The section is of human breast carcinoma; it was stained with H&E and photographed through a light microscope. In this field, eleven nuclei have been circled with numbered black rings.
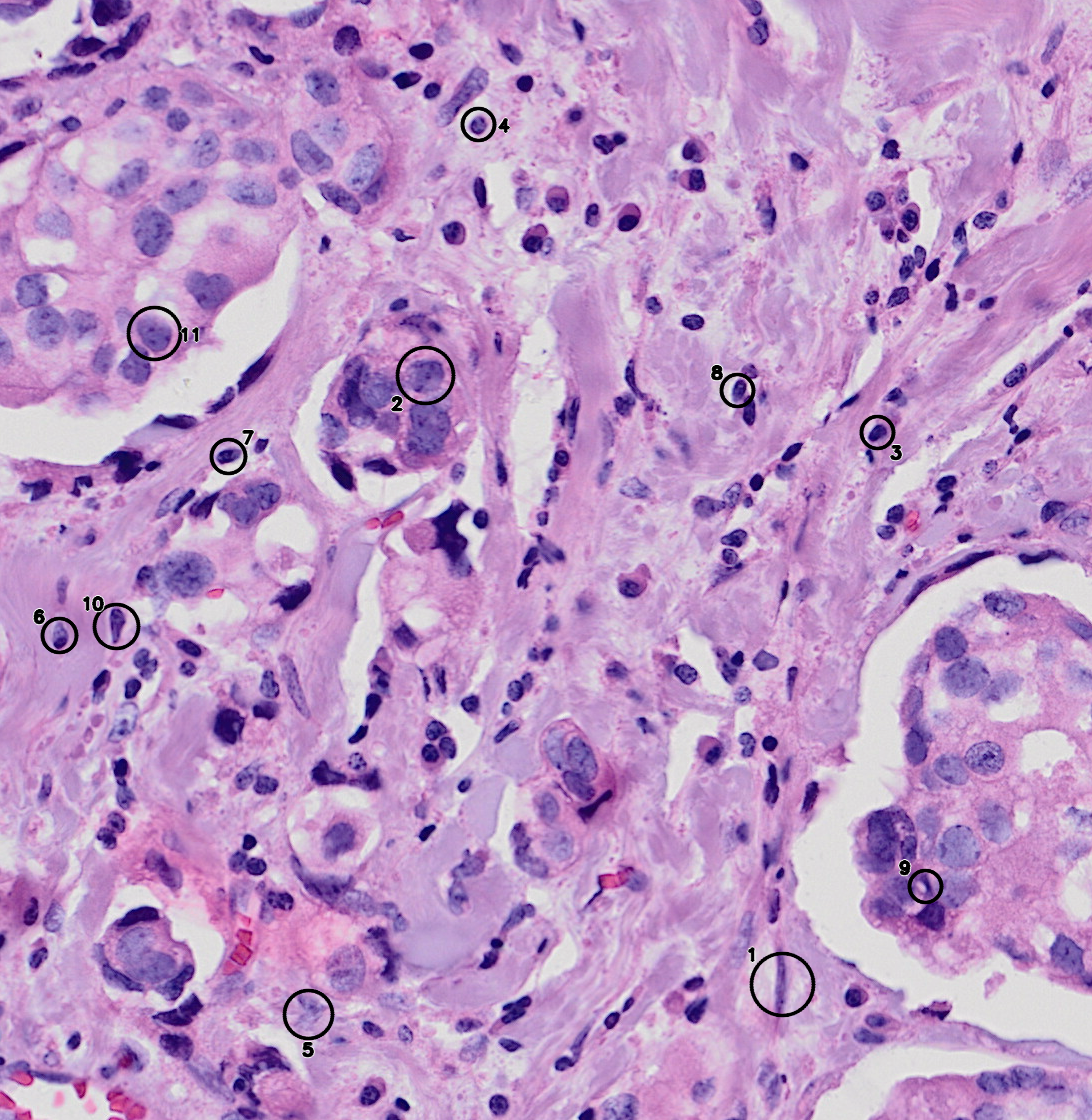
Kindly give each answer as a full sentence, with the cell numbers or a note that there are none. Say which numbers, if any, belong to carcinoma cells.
The cells numbered 2, 9 and 11 are typed as carcinoma cells.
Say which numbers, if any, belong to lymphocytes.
The cells marked with the numbers 3, 4, 6, 7, 8 and 10 are lymphocytes.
